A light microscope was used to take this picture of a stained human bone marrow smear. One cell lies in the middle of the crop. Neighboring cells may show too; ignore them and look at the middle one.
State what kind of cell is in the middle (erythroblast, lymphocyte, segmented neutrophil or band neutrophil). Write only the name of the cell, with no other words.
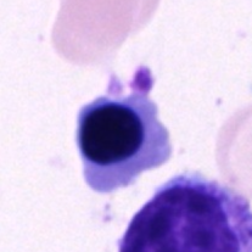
erythroblast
